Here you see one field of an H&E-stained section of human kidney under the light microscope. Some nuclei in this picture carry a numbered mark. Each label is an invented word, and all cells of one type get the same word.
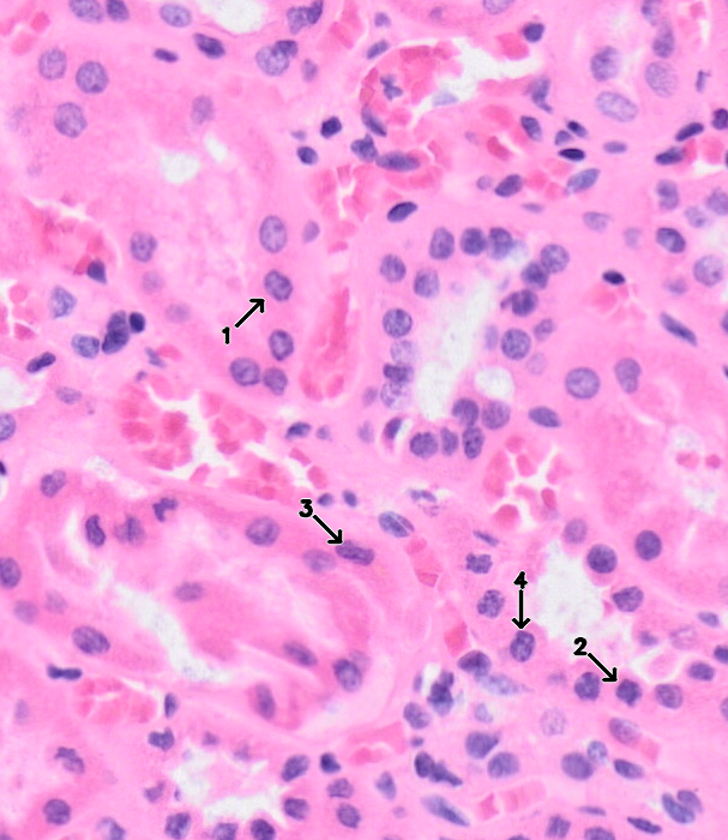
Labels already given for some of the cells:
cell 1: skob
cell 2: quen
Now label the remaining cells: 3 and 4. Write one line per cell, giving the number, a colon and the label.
3: skob
4: quen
